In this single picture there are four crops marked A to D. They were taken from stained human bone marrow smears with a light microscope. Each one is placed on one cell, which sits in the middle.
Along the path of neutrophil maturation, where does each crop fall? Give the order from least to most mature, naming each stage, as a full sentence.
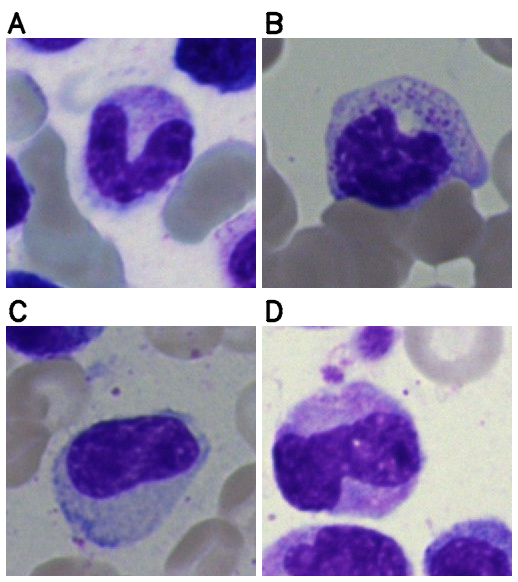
The order from the least mature cell to the most mature cell is crop B (a myelocyte), crop C (a metamyelocyte), crop D (a band neutrophil) and crop A (a segmented neutrophil).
